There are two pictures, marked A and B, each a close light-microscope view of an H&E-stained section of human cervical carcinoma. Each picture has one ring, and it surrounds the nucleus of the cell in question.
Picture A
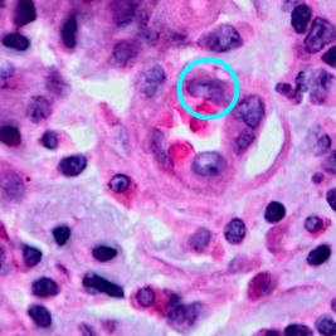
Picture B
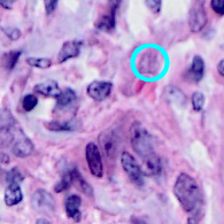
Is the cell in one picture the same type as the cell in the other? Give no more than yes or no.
yes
